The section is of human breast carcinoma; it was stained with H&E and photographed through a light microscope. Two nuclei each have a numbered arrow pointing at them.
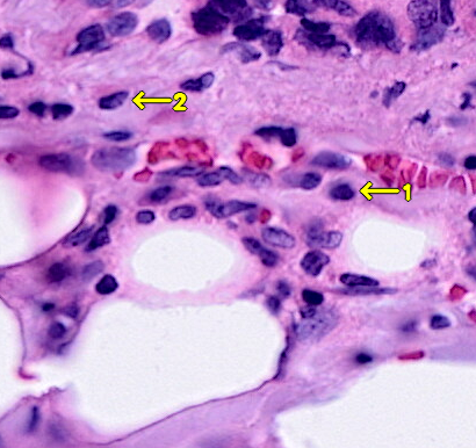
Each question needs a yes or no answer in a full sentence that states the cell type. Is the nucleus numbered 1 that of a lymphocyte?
Yes, in this tissue section, number 1 is a lymphocyte.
